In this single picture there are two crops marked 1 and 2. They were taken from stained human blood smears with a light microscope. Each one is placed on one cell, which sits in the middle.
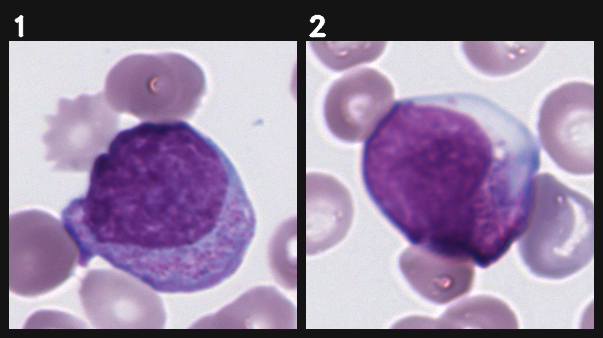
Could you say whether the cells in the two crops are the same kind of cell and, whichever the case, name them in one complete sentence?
Yes, both crops show atypical promyelocytes, the one and the other.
